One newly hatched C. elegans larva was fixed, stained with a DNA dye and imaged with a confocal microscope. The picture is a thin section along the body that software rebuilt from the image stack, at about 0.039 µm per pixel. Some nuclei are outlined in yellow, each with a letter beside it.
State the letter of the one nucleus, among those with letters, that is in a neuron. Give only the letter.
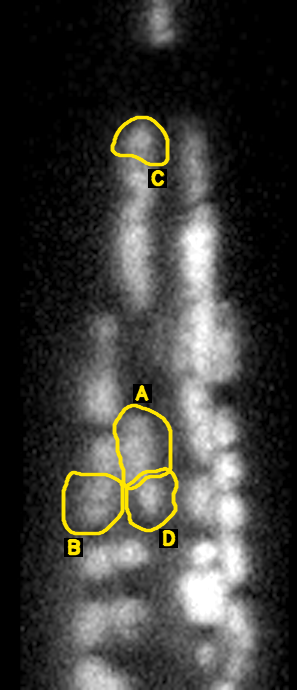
D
